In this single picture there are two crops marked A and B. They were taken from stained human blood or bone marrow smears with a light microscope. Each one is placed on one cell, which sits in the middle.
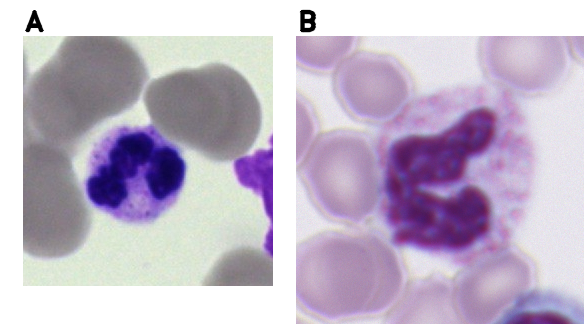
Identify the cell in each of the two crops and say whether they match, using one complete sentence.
Yes, the cells of interest in both crops are segmented neutrophils.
